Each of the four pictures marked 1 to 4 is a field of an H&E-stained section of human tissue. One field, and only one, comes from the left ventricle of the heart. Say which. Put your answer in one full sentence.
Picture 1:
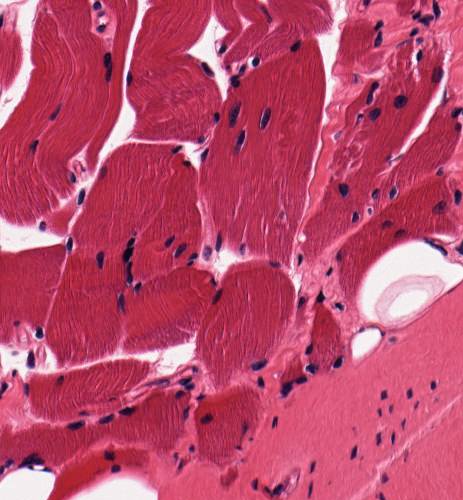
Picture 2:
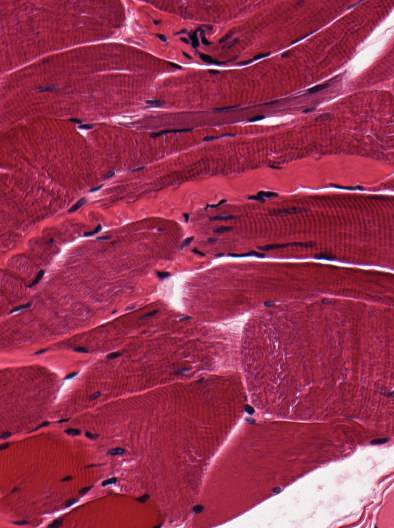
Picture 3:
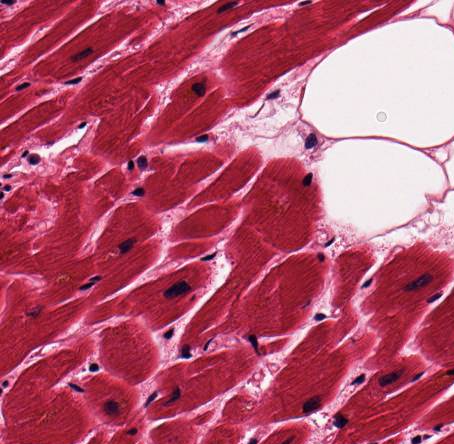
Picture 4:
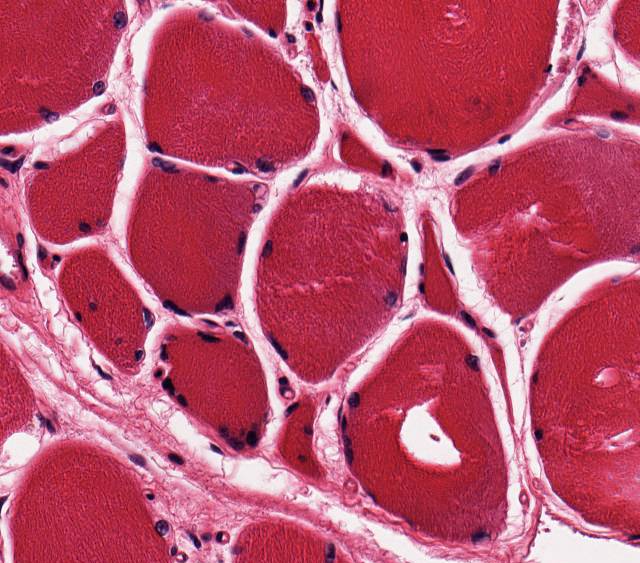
It is picture 3 that comes from the left ventricle of the heart.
